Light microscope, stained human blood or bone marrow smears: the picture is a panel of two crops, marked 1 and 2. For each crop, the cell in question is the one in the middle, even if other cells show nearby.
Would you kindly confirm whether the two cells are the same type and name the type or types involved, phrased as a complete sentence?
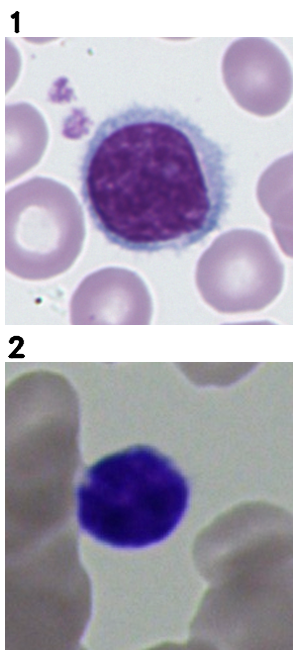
Yes, the cells at the centres of the two crops are lymphocytes.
